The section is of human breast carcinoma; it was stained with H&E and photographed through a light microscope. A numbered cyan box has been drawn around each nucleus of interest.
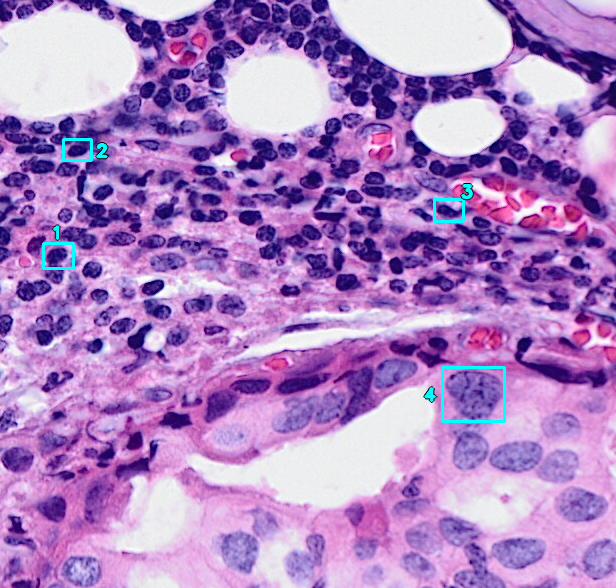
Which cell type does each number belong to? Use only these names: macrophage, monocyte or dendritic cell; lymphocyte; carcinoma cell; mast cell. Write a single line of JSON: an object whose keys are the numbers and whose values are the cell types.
{"1": "lymphocyte", "2": "lymphocyte", "3": "lymphocyte", "4": "carcinoma cell"}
